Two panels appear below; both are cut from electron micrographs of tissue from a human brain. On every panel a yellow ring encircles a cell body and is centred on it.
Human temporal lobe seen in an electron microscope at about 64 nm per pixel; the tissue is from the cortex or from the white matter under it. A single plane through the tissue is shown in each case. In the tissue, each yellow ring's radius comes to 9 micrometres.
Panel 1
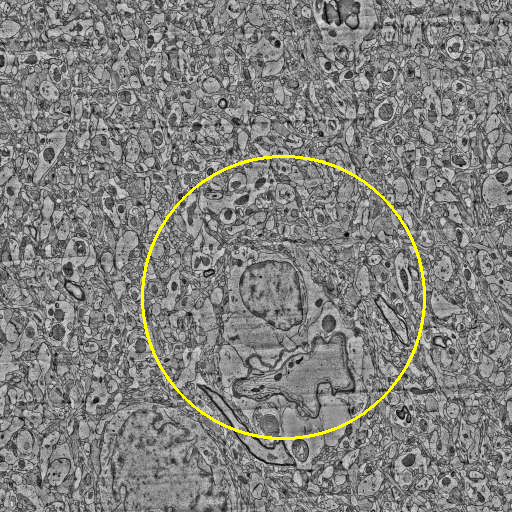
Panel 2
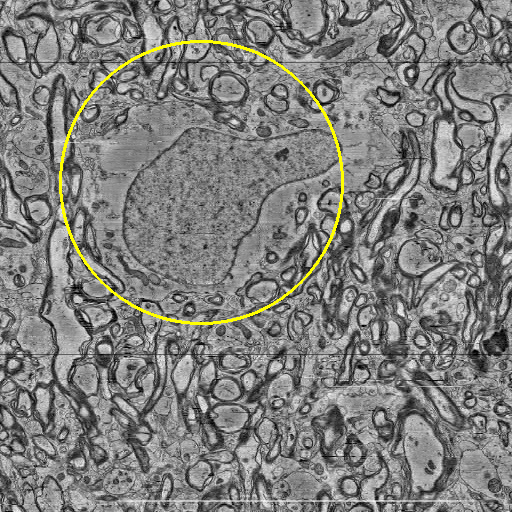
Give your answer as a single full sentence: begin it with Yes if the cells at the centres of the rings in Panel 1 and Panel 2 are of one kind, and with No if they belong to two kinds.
No, the cells in the middle of the rings in Panels 1 and 2 are of two kinds.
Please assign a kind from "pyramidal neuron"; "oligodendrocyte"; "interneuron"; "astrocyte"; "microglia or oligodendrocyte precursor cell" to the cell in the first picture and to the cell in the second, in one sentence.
In the first picture we have a microglial cell or oligodendrocyte precursor cell, and in the second, an astrocyte.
